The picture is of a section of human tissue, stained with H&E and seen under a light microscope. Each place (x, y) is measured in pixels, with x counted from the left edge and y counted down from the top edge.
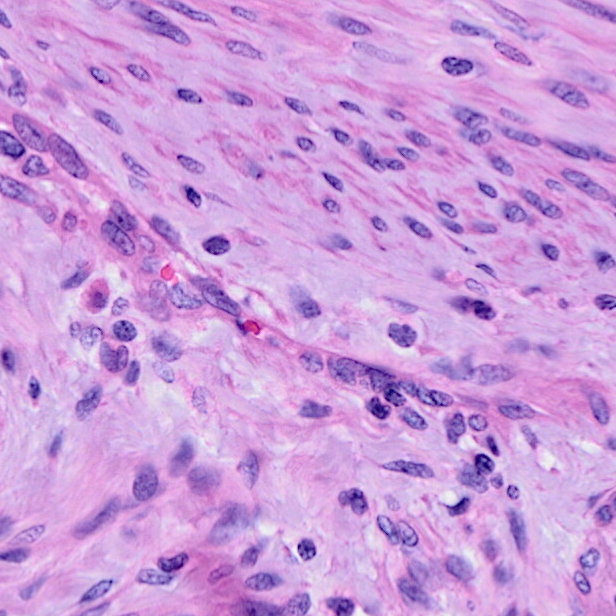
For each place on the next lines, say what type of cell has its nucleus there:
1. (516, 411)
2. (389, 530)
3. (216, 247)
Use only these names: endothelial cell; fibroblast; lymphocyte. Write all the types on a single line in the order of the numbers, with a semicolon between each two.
endothelial cell; endothelial cell; lymphocyte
